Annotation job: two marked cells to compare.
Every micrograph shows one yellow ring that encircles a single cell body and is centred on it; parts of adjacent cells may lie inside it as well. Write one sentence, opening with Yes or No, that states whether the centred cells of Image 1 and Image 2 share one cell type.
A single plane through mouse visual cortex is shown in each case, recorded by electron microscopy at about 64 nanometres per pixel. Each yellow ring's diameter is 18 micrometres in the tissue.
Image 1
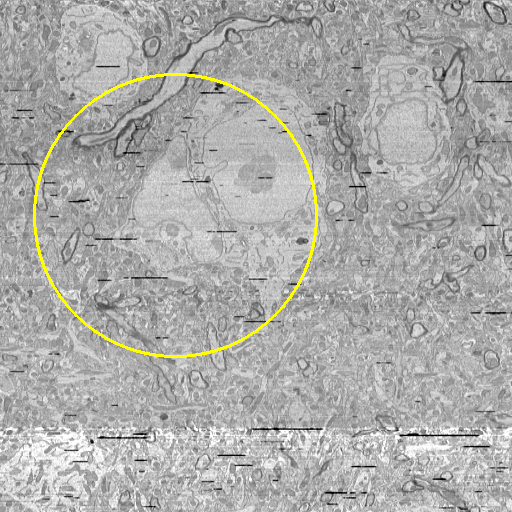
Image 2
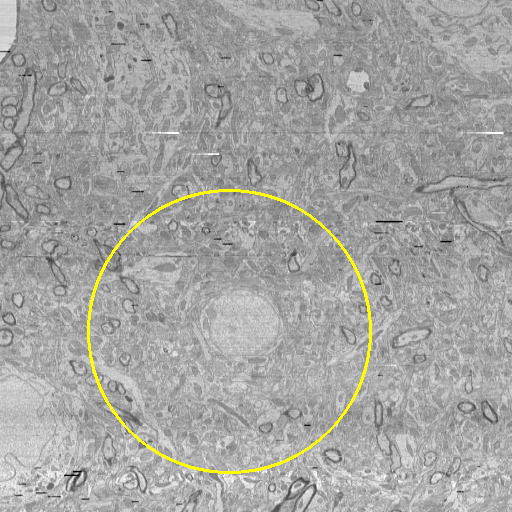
Yes, the cell centred in Image 1 shares its type with the cell centred in Image 2.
